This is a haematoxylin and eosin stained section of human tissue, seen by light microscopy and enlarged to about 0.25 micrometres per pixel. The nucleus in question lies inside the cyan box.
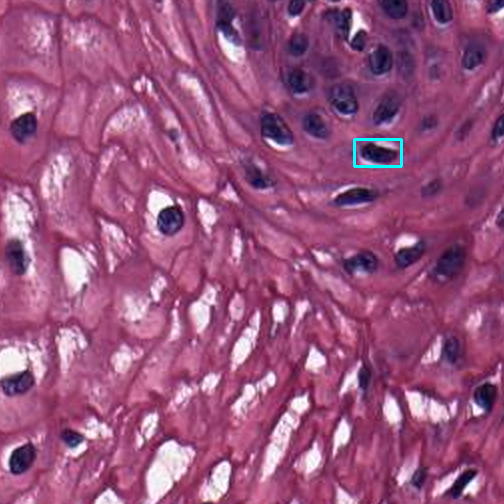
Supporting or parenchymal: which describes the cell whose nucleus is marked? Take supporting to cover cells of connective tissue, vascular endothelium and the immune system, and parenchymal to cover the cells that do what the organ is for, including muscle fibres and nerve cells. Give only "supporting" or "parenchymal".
parenchymal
